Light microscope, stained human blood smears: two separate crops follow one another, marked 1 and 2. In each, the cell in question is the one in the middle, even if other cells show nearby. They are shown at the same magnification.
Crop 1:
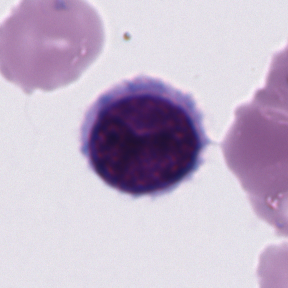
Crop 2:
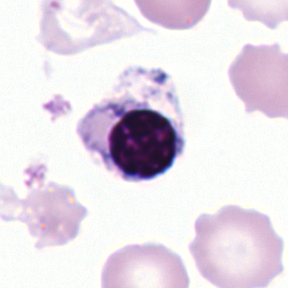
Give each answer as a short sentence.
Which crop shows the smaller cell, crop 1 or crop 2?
The cell in crop 2 is smaller; the one in crop 1 has about 1.5 times its area.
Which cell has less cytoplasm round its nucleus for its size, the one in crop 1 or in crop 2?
In crop 1 the nucleus takes up the larger part of its cell.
